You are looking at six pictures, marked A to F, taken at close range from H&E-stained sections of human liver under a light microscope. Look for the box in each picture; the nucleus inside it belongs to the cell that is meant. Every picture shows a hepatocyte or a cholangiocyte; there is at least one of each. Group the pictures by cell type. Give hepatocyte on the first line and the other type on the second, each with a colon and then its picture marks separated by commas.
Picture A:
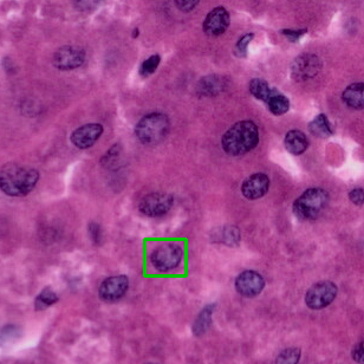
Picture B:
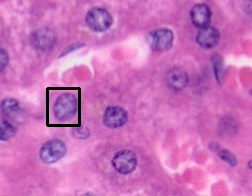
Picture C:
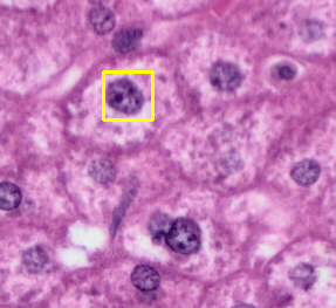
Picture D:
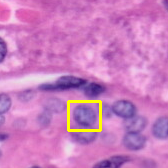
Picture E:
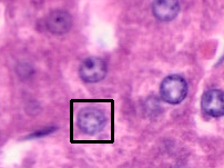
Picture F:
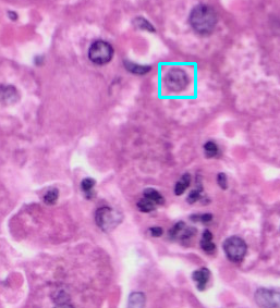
hepatocyte: A, C, E, F
cholangiocyte: B, D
